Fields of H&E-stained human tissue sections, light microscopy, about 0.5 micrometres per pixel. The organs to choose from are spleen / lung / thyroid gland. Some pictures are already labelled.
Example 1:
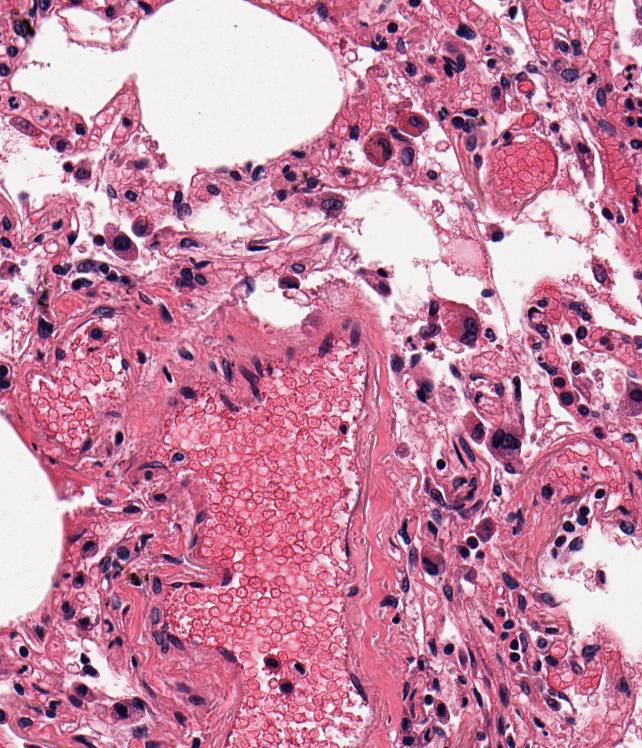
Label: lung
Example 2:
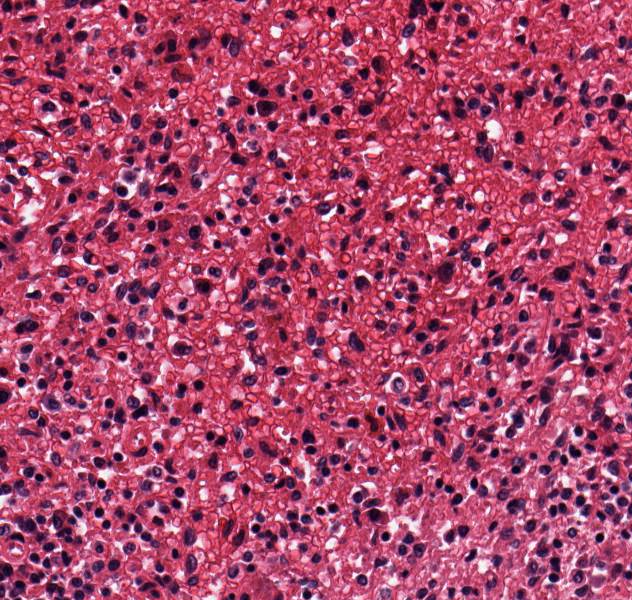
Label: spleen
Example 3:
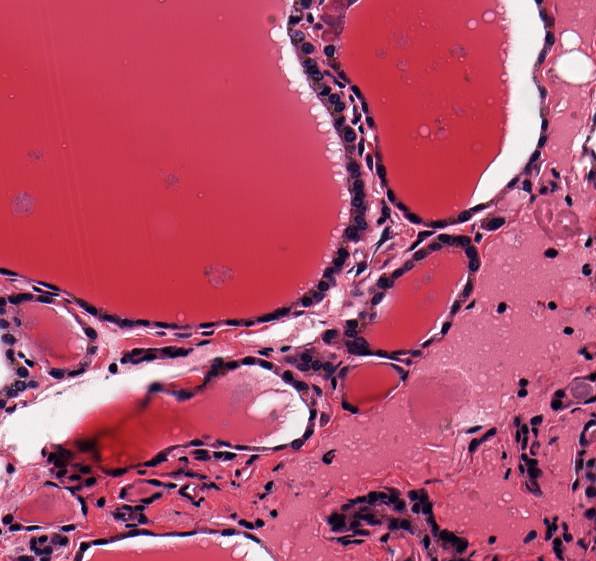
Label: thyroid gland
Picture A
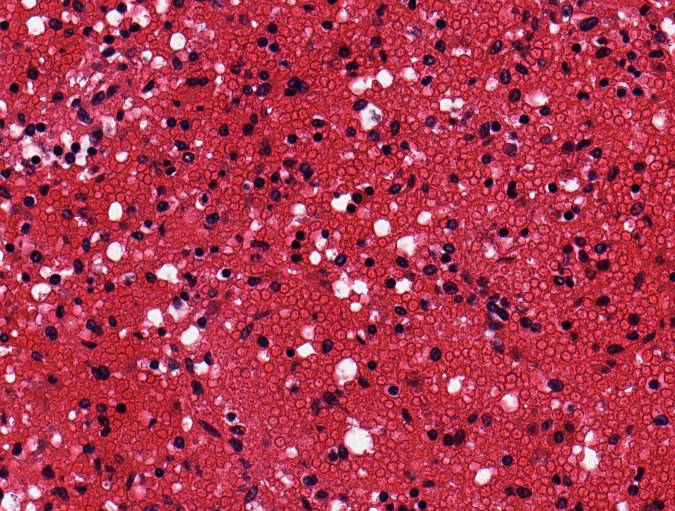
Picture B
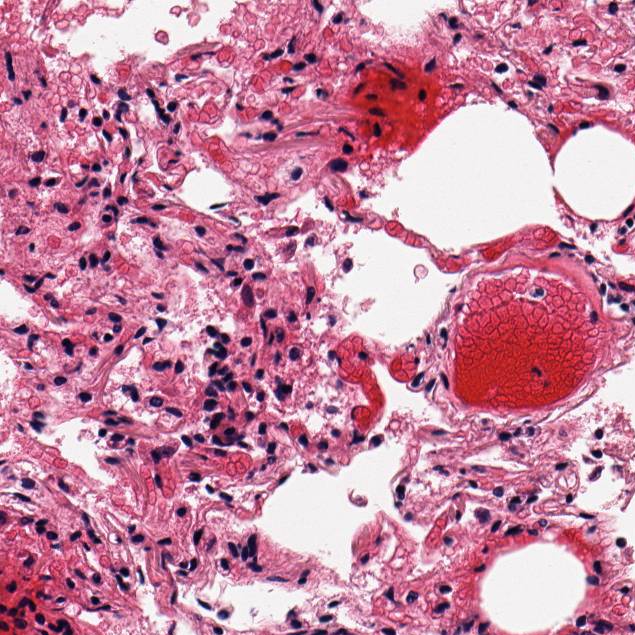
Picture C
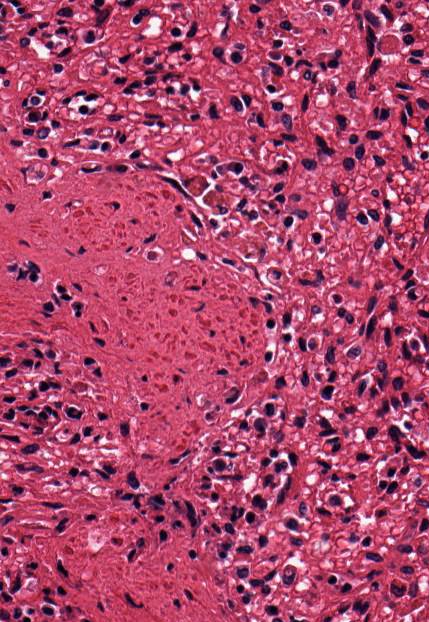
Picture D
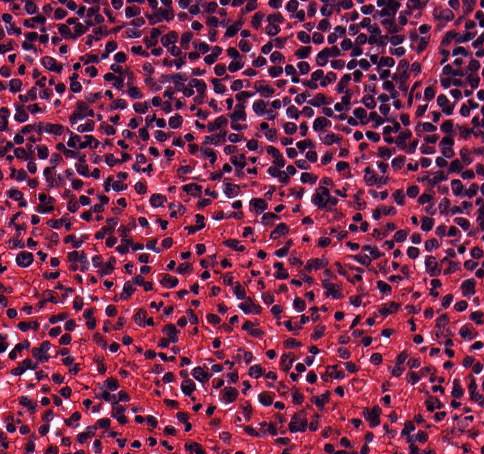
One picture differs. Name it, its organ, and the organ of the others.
Exception: B, showing lung. Remaining pictures: spleen.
